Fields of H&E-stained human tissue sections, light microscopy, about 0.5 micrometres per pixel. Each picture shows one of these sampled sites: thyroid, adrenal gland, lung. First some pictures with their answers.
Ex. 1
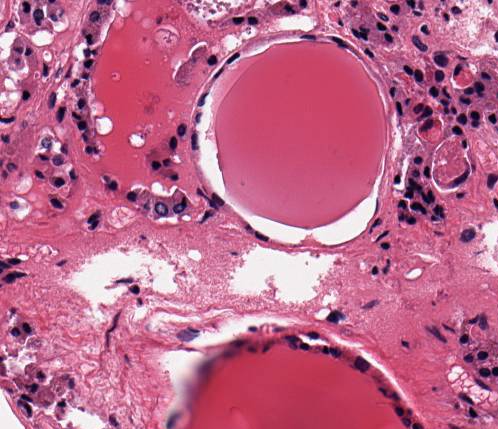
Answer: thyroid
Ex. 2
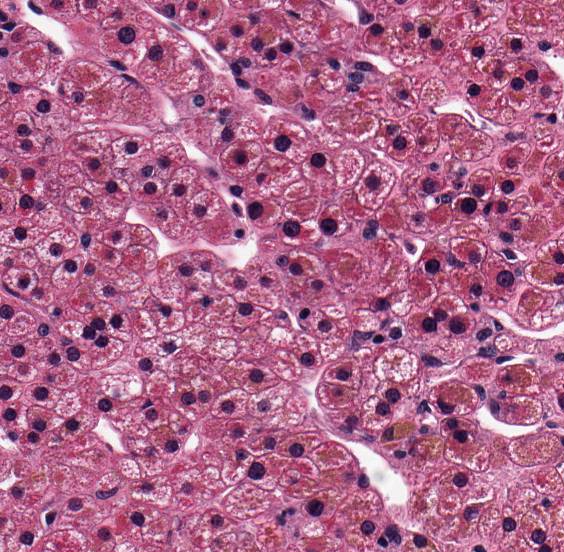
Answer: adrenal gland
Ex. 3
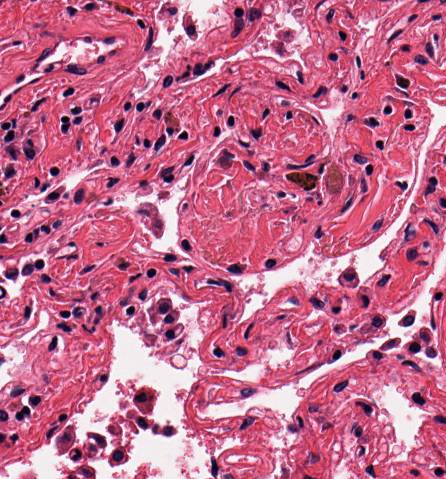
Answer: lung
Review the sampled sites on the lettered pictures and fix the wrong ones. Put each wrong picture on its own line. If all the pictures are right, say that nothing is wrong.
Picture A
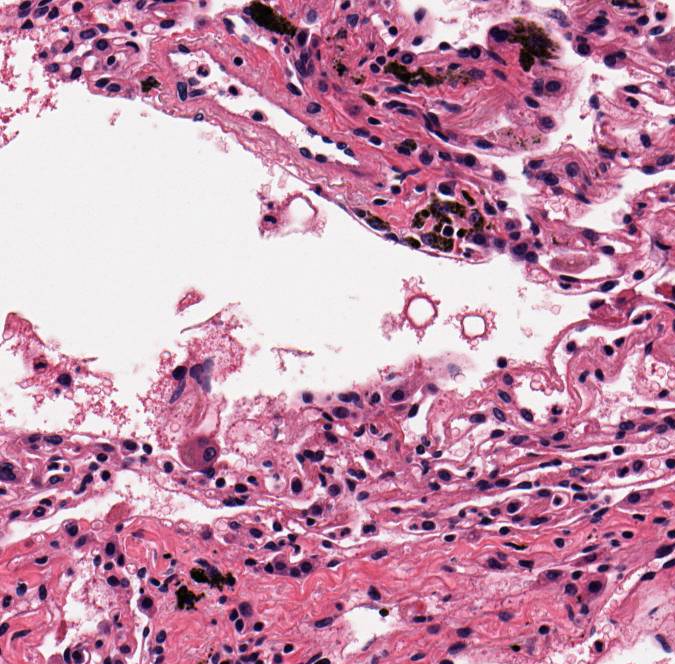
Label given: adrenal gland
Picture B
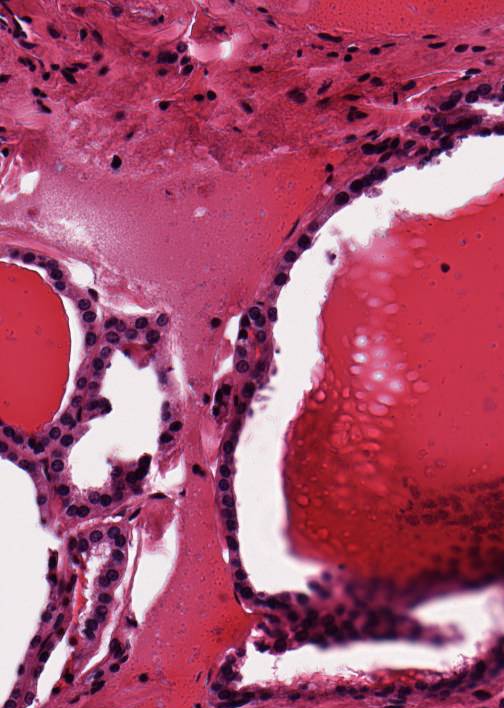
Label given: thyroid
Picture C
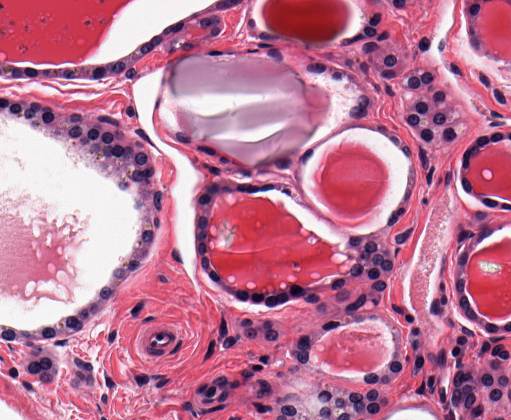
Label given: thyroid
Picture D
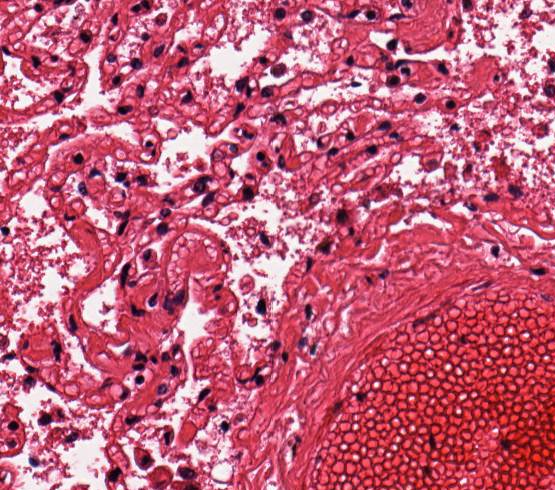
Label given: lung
A is labelled adrenal gland; correct label: lung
